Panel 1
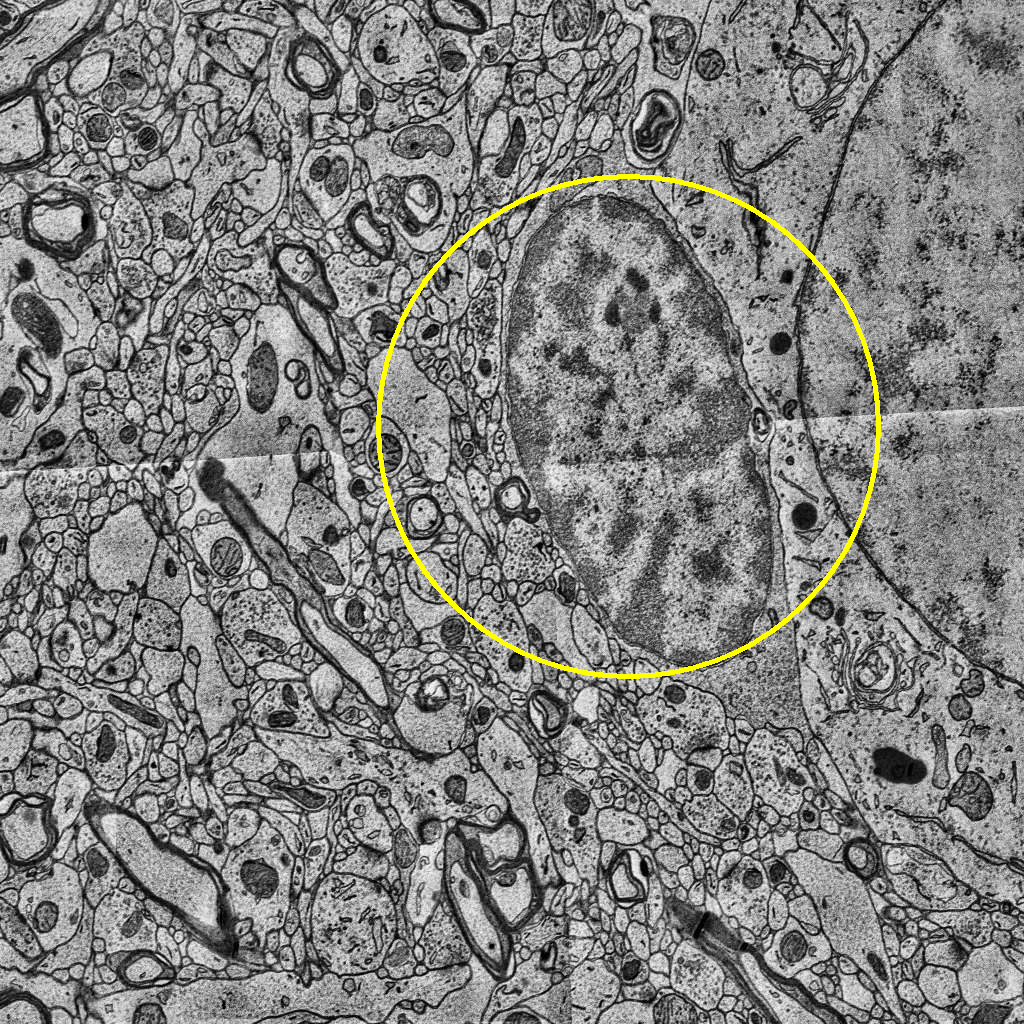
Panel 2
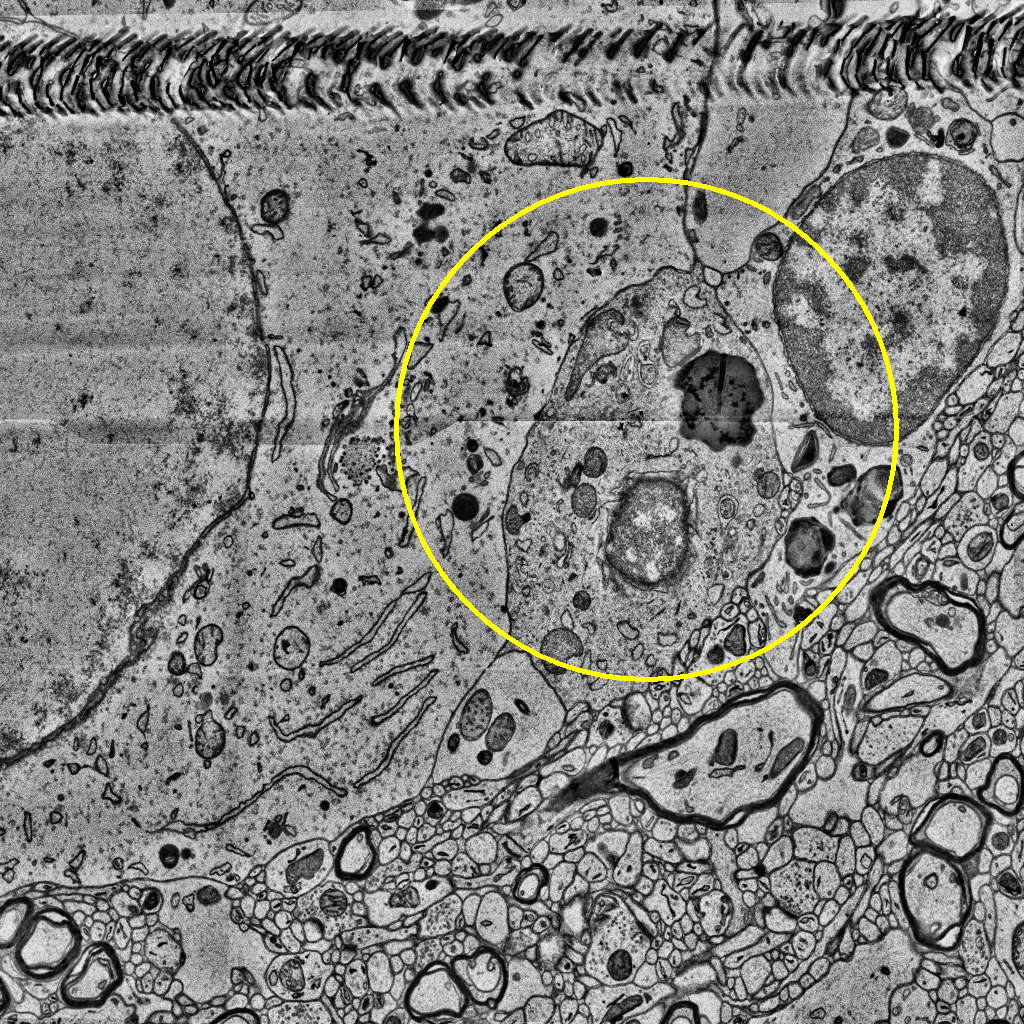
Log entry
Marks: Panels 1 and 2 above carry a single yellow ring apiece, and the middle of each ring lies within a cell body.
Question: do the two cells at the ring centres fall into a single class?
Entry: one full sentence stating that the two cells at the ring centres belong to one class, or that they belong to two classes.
The two cells at the ring centres in Panels 1 and 2 belong to one class.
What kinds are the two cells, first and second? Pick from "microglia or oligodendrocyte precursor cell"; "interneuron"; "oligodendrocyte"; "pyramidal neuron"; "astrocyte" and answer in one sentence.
Both pictures show an oligodendrocyte at the centre of the ring.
